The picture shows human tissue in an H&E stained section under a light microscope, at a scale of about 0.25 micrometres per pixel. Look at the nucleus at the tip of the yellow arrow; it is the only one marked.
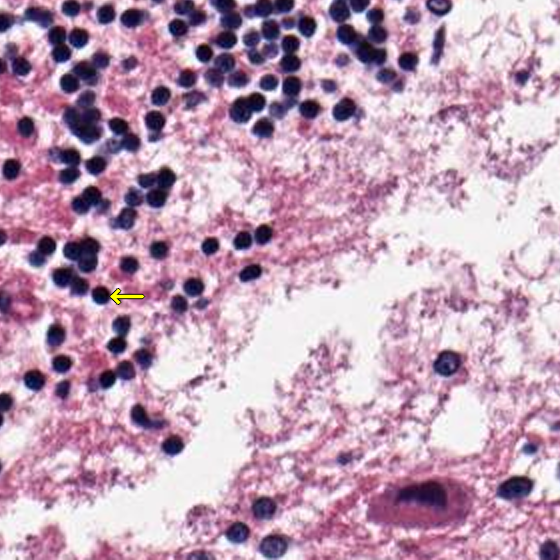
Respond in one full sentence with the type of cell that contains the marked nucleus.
It is a cerebellar granule cell that the marked nucleus belongs to.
